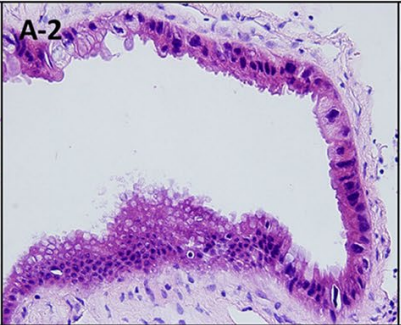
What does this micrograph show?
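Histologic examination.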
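A cyst-like wall is lined by tall columnar epithelium facing an empty lumen, resting on a thin band of loose pale fibrous stroma. Many of the lining cells have pale, vacuolated, mucus-filled cytoplasm toward the surface. The nuclei are elongated, dark purple and crowded, stacked at different heights in places rather than in a single neat row. Scattered small nuclei lie in the underlying stroma.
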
